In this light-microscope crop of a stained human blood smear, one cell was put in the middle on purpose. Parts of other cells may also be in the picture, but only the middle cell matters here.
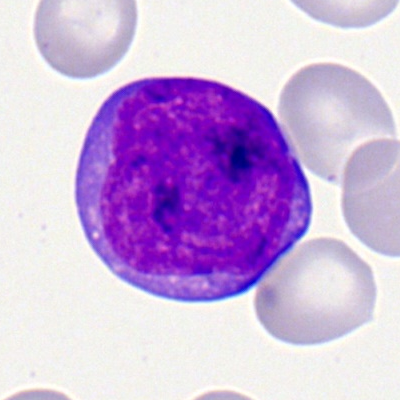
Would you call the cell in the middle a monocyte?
no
